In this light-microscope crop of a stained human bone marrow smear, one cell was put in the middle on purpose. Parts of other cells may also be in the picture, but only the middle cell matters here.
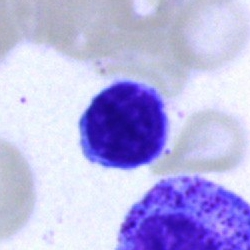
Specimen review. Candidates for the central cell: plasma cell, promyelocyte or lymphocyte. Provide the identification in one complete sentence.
This crop is built around a lymphocyte at its centre.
